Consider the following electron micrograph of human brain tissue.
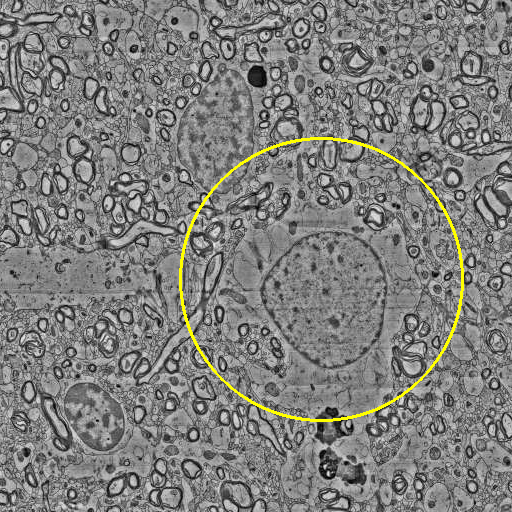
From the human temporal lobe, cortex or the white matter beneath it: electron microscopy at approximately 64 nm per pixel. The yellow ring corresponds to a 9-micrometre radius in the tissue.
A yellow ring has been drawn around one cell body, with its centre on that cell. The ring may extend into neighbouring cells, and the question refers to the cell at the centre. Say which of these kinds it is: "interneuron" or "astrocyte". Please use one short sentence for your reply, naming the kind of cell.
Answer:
The centre of the ring falls on an astrocyte.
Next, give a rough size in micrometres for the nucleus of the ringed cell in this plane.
The nucleus appears about 8 micrometres across in this plane.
